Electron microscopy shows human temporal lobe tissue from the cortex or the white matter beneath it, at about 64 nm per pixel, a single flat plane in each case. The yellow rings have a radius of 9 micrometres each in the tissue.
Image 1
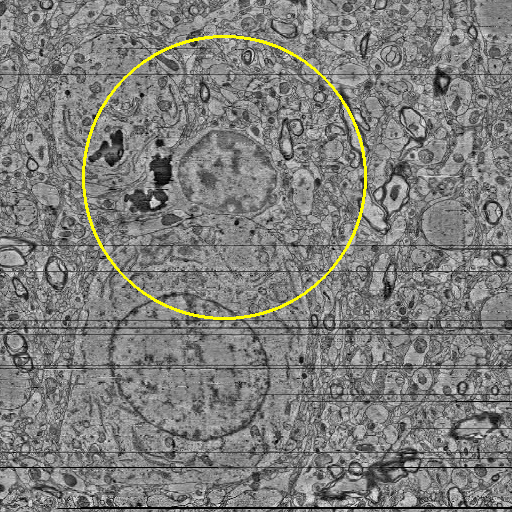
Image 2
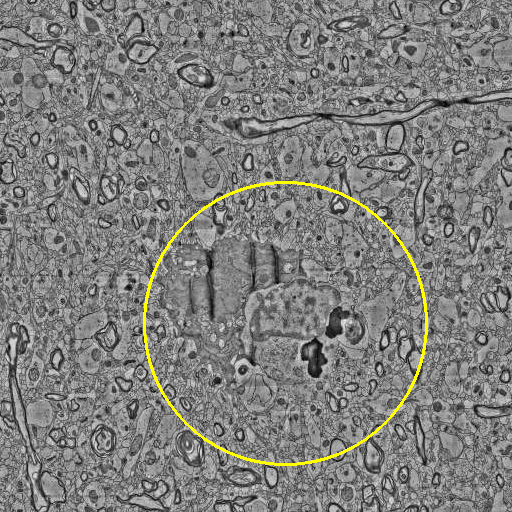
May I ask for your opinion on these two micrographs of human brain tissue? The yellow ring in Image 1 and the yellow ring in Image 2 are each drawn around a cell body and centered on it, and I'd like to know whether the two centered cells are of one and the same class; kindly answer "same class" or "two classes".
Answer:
same class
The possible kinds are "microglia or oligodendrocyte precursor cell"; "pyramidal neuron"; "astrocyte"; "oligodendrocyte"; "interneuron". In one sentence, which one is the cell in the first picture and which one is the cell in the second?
In the first picture and in the second, the ring is centred on an oligodendrocyte.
